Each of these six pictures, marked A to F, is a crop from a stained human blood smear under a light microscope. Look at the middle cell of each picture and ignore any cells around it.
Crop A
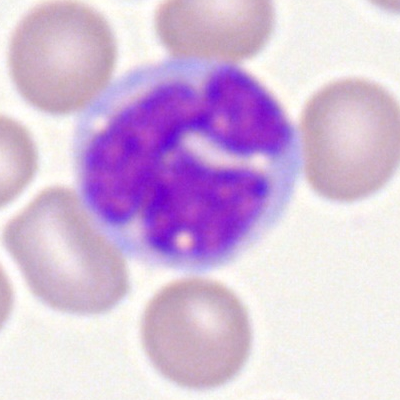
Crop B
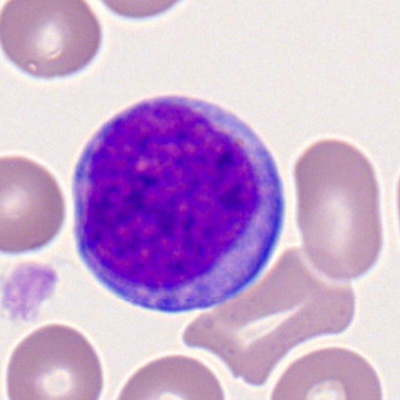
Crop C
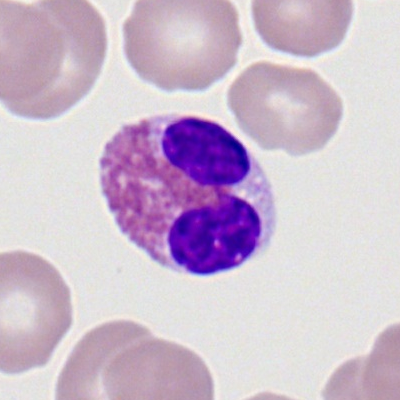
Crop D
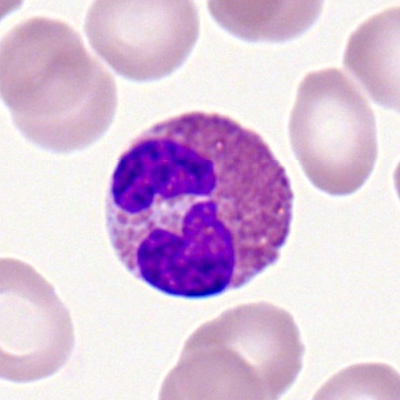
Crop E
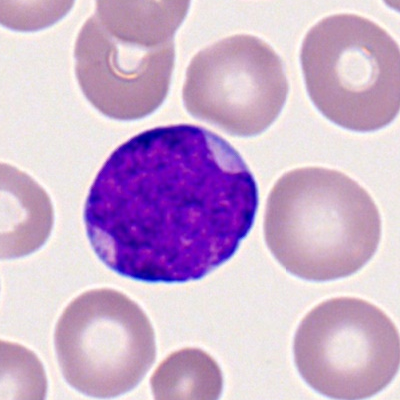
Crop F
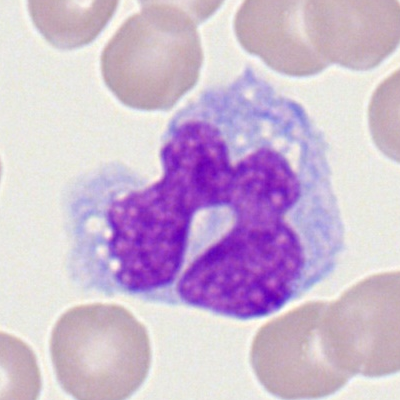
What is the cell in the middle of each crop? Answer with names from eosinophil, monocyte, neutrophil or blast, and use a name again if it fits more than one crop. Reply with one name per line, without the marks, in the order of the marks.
monocyte
blast
eosinophil
eosinophil
blast
monocyte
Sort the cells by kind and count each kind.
monocyte: 2
blast: 2
eosinophil: 2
